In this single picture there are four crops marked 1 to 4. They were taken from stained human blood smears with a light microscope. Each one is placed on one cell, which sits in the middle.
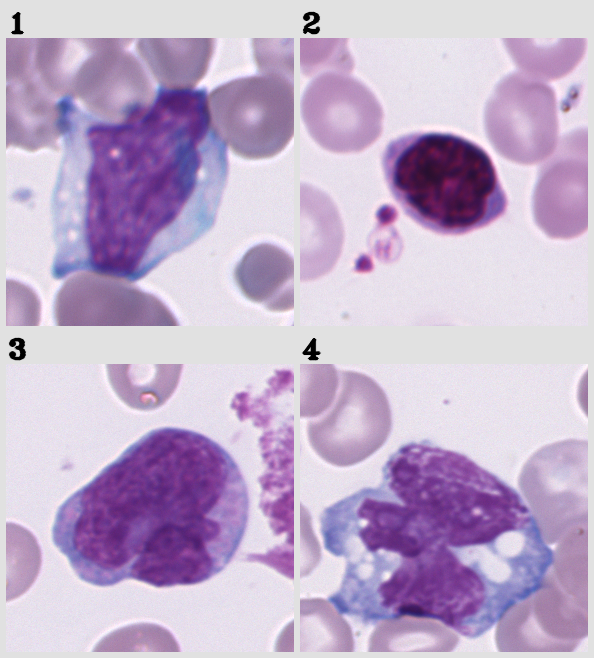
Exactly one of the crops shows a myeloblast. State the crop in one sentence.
It is the cell in crop 1 that is a myeloblast.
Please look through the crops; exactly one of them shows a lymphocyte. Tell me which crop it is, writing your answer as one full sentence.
The crop that shows a lymphocyte is crop 2.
